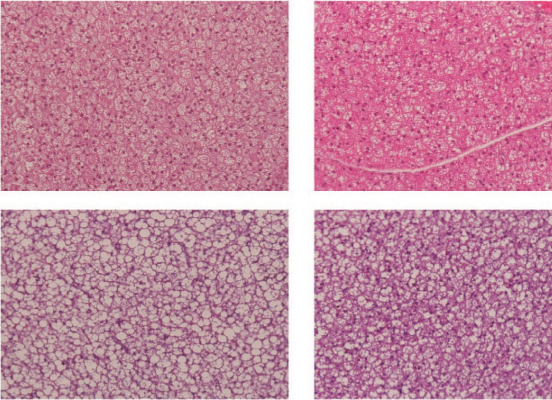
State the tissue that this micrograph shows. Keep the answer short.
Brown adipose tissue.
